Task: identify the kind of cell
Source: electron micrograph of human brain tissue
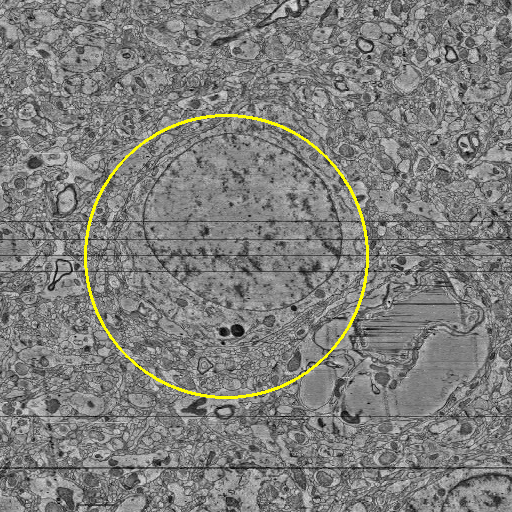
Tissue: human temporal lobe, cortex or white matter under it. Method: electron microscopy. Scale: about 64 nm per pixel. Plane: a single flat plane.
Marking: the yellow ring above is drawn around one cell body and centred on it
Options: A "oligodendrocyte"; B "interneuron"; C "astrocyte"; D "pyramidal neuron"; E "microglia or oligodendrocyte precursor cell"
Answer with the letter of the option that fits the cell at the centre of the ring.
D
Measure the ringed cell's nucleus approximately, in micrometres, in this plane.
Approximately 12 micrometers across in this plane.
